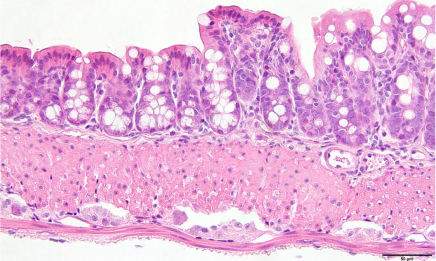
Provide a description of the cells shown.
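This is the mucosa of the large intestine, made of straight tubular crypts lined by a single layer of tall columnar epithelial cells with many goblet cells. The goblet cells appear as round, clear, empty-looking vacuoles of mucin set among cells with basal purple nuclei. The luminal surface is flat, without villi, and is covered by a strip of pinker surface epithelium. Between the crypts there is scant lamina propria. Beneath the mucosa lies a thick, evenly pink layer of smooth muscle containing scattered small oval nuclei, and a thin fibrous outer layer forms the lower edge.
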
